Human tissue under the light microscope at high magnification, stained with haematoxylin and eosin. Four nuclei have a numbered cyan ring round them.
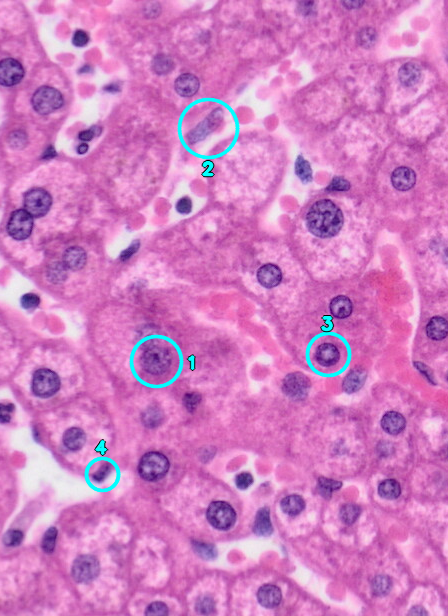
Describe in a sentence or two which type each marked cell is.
Cells 1 and 3 are hepatocytes. Cell 2 is a Kupffer cell. Cell 4 is an endothelial cell.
